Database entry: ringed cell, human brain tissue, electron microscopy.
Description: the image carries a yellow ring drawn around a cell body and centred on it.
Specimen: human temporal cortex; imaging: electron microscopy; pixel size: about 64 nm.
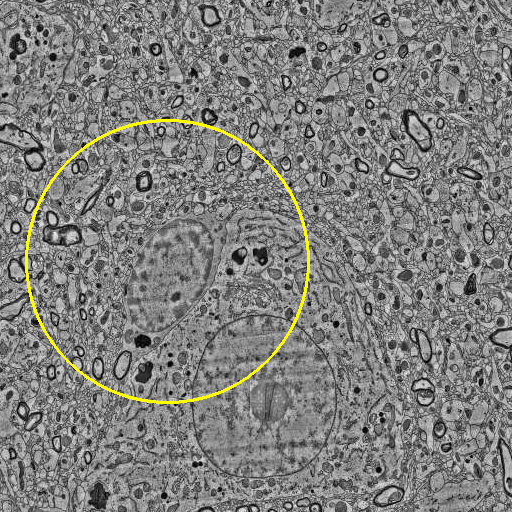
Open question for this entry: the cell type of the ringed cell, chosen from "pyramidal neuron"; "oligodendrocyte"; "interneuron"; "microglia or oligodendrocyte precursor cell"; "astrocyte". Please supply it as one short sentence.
The ringed cell is an oligodendrocyte.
